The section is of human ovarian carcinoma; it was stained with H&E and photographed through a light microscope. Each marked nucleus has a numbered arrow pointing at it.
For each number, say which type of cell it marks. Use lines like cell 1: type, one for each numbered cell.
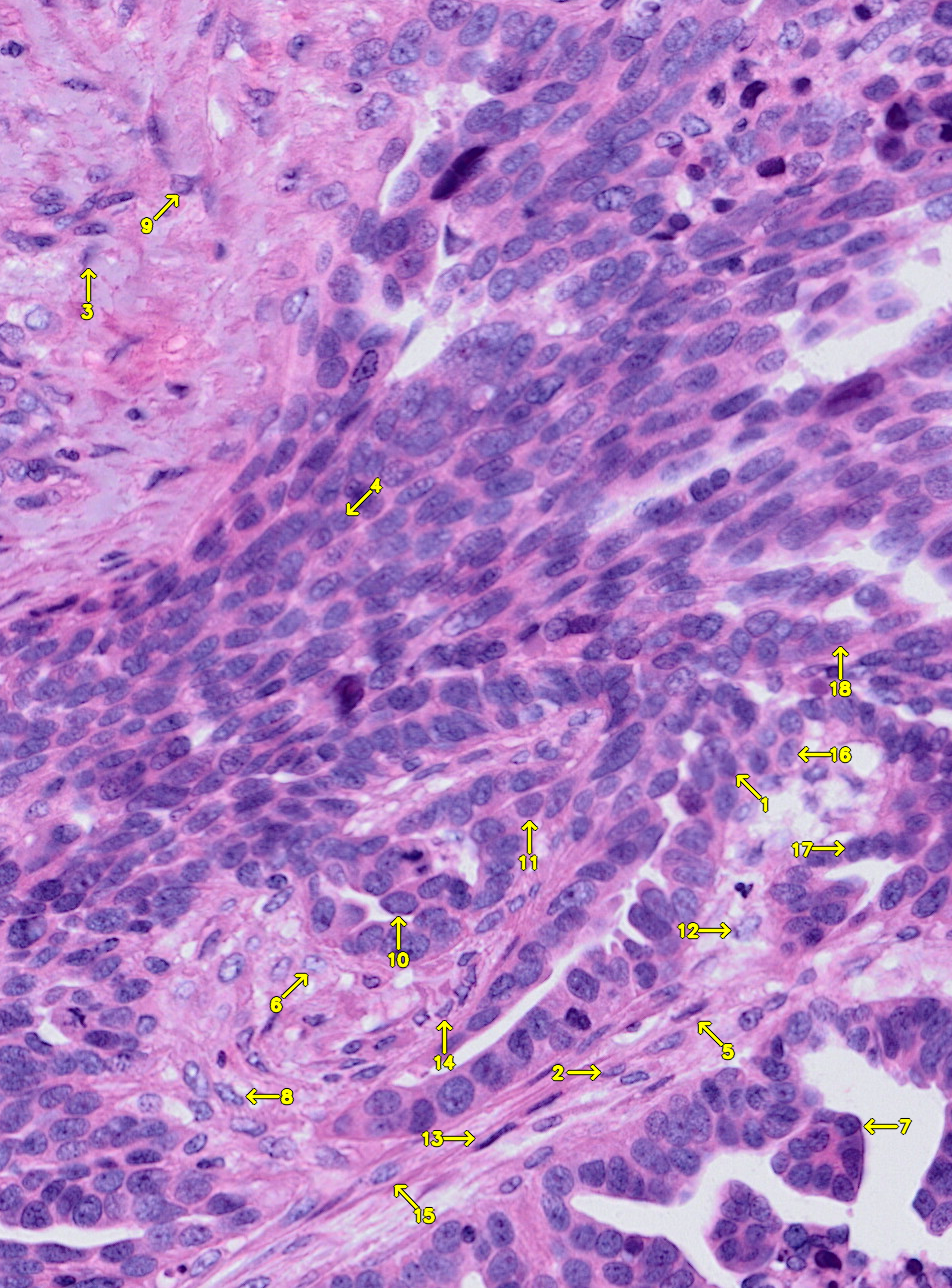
cell 1: carcinoma cell
cell 2: fibroblast
cell 3: fibroblast
cell 4: carcinoma cell
cell 5: fibroblast
cell 6: fibroblast
cell 7: carcinoma cell
cell 8: fibroblast
cell 9: fibroblast
cell 10: carcinoma cell
cell 11: carcinoma cell
cell 12: fibroblast
cell 13: fibroblast
cell 14: fibroblast
cell 15: fibroblast
cell 16: carcinoma cell
cell 17: carcinoma cell
cell 18: carcinoma cell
